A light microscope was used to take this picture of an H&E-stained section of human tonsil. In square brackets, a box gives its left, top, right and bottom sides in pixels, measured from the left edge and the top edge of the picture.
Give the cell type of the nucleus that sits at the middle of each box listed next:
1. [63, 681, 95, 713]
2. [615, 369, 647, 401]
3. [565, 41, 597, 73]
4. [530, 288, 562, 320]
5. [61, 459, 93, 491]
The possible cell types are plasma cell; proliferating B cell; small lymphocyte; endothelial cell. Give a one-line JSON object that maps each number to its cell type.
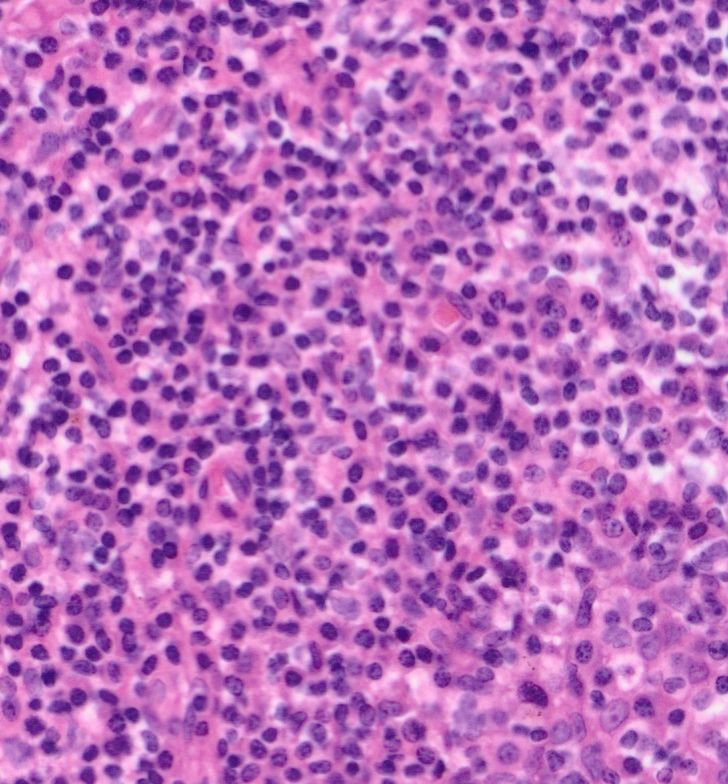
{"1": "plasma cell", "2": "plasma cell", "3": "small lymphocyte", "4": "plasma cell", "5": "small lymphocyte"}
